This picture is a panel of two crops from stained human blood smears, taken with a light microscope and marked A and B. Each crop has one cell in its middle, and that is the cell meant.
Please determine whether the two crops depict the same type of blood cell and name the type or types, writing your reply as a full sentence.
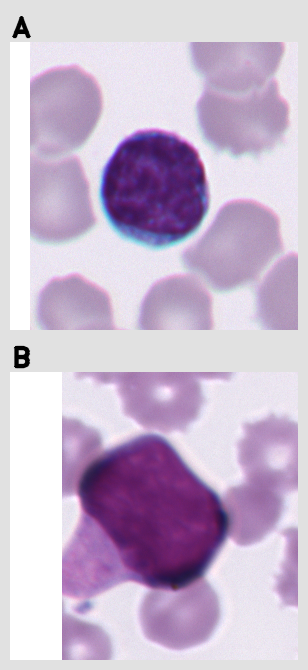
No, crop A shows a typical lymphocyte, with a myeloblast shown in crop B.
